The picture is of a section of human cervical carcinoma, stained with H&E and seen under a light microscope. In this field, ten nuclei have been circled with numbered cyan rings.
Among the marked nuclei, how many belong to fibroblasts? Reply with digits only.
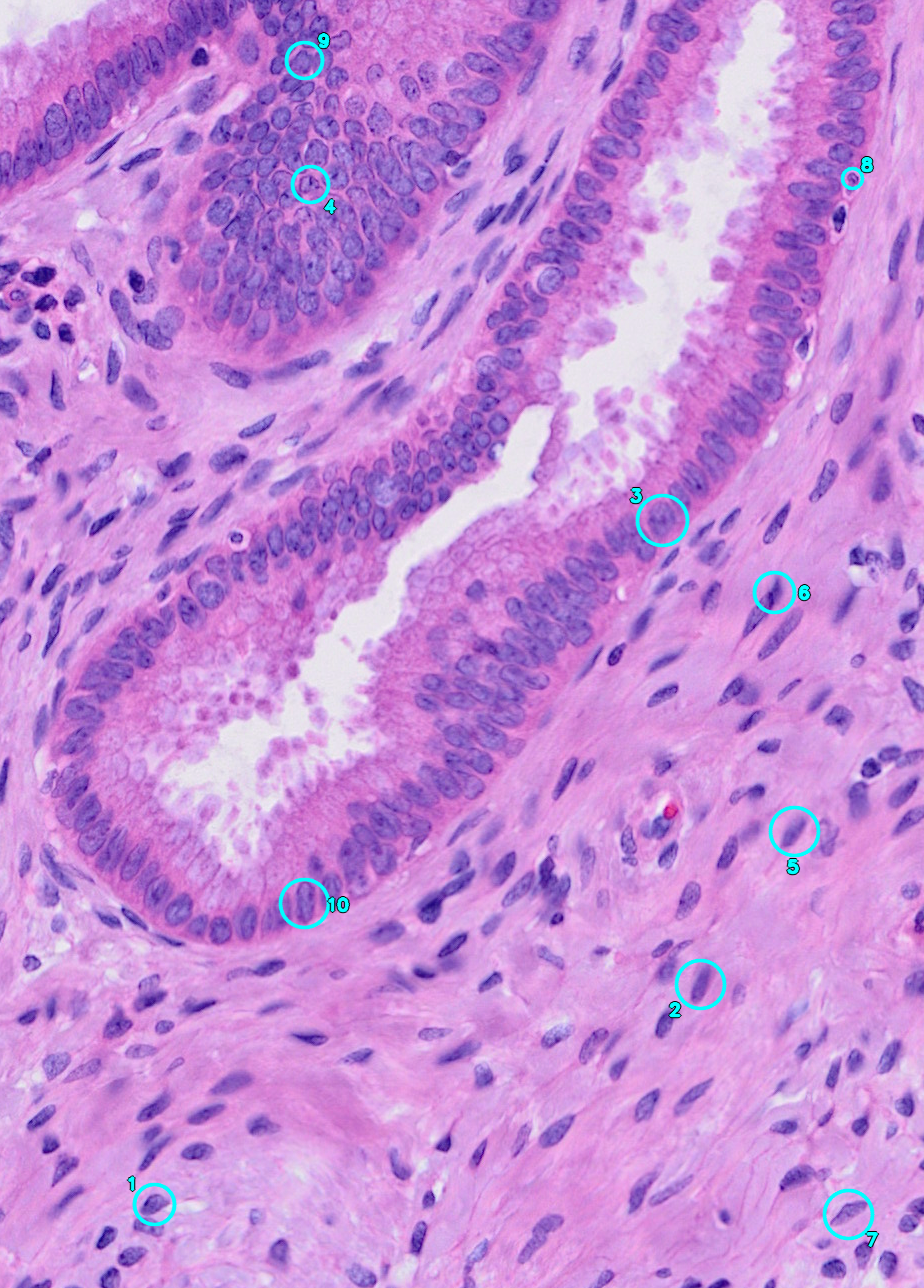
5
